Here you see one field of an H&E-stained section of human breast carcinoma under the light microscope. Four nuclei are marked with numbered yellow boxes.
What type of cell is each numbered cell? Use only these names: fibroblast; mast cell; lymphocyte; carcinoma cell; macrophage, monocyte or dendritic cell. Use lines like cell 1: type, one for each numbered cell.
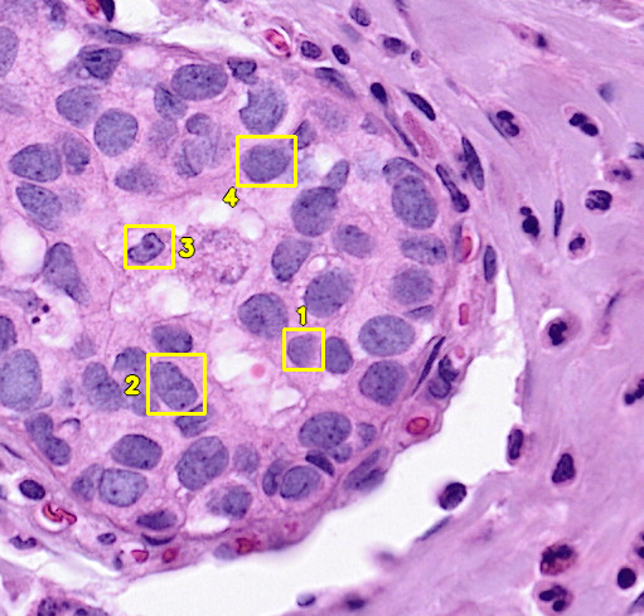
cell 1: carcinoma cell
cell 2: carcinoma cell
cell 3: macrophage, monocyte or dendritic cell
cell 4: carcinoma cell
